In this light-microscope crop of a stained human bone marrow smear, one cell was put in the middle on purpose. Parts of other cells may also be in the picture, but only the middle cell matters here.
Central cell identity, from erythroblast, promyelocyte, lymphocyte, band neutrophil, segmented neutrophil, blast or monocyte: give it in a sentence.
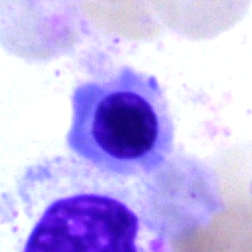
In the middle of this smear crop is an erythroblast.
